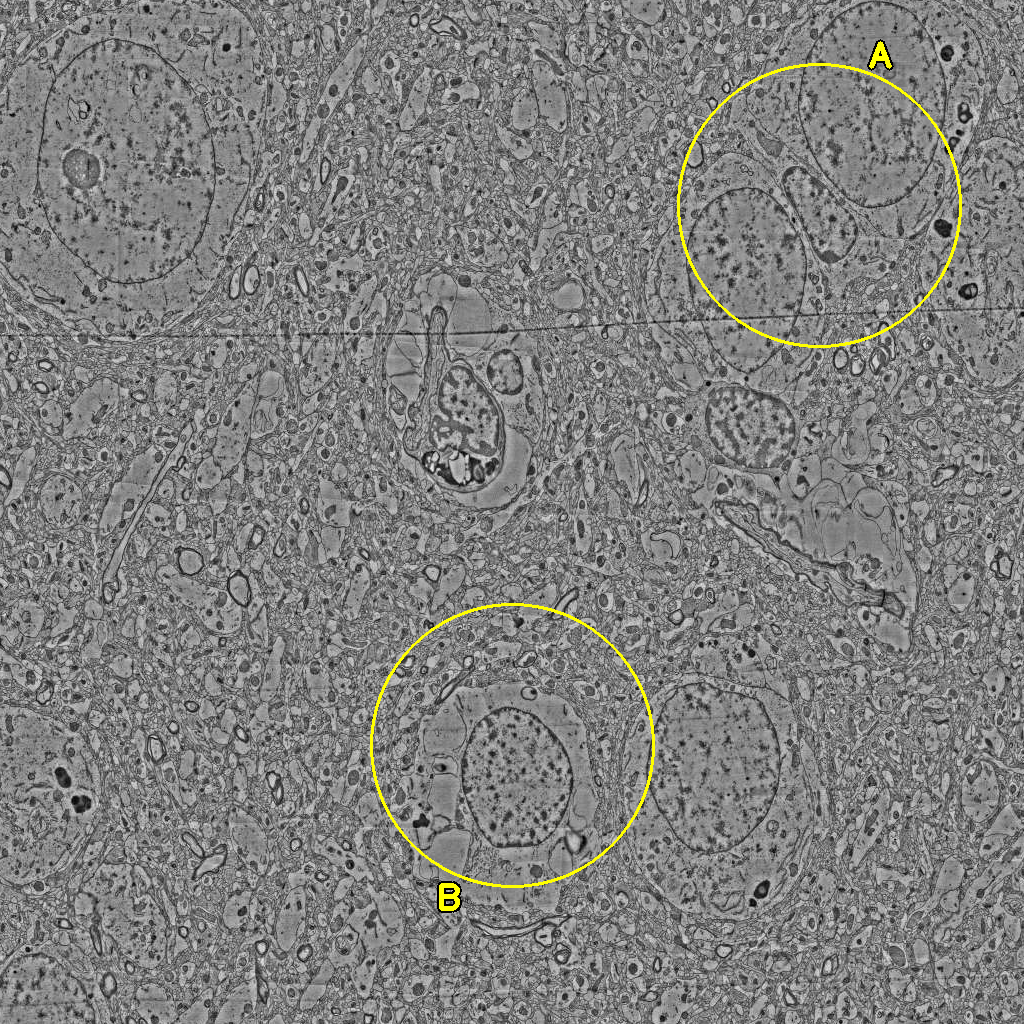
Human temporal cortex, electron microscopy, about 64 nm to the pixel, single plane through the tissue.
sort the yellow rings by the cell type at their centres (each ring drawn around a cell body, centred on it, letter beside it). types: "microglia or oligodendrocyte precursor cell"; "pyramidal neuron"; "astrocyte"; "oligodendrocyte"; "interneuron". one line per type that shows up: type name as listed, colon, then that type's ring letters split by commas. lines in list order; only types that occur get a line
microglia or oligodendrocyte precursor cell: A
astrocyte: B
